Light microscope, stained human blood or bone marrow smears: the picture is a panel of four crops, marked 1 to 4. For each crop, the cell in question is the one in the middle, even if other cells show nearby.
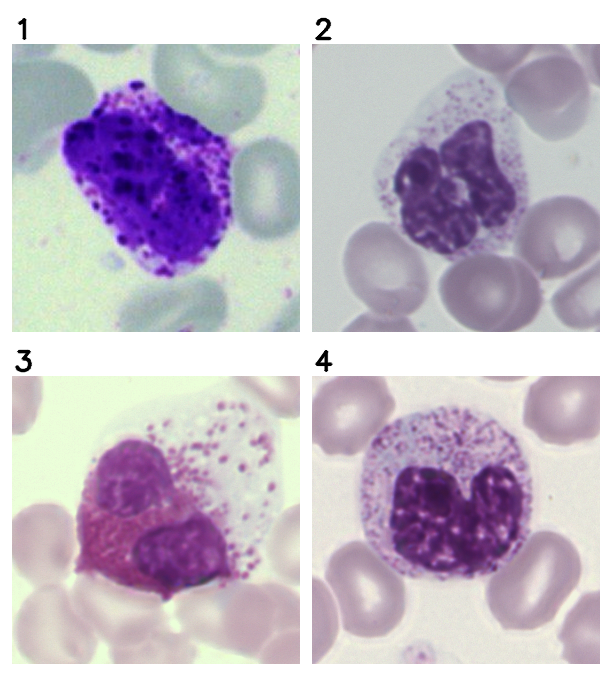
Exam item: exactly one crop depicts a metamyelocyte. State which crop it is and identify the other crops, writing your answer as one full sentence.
Regarding crop 4, it shows a metamyelocyte, while crop 1 is a basophil, crop 2 is a segmented neutrophil and crop 3 is an eosinophil.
